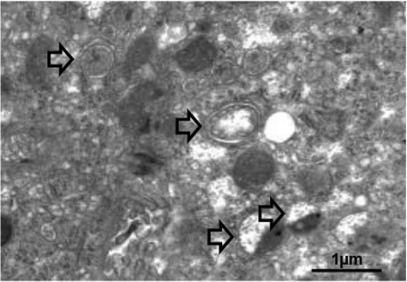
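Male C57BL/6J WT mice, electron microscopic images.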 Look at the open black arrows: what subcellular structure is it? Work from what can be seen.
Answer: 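Autophagosomes/autolysosomes. The arrows point to round vacuoles bounded by membranes within the cytoplasm. Some marked vacuoles contain concentric, whorled membranes. The vacuoles are about the size of nearby mitochondria or smaller.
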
